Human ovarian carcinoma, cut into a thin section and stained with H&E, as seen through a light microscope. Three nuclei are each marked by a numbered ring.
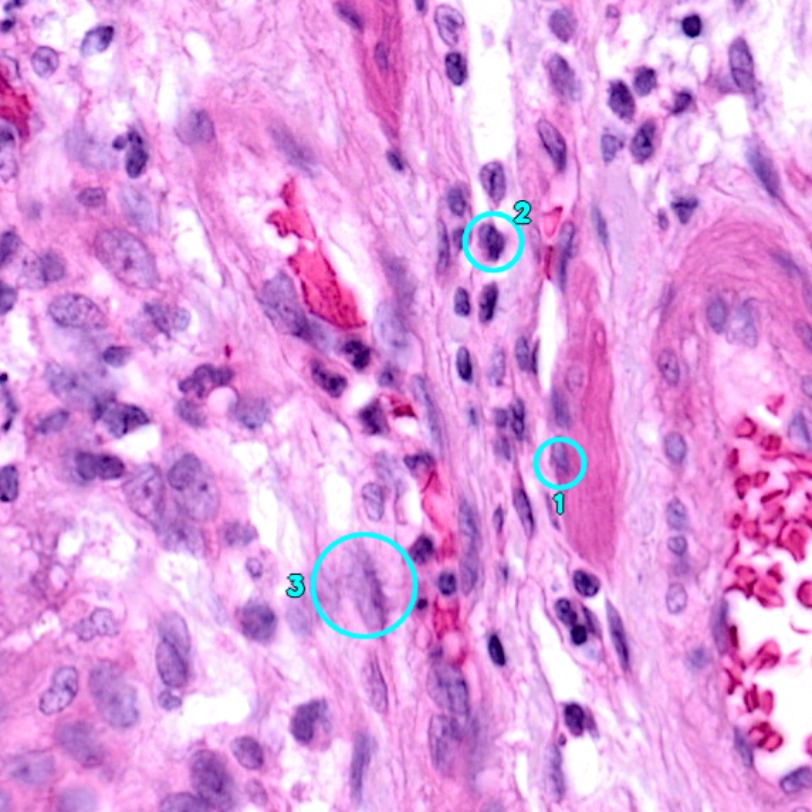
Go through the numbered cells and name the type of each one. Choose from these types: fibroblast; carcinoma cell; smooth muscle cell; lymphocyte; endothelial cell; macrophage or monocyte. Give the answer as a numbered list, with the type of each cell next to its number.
1. smooth muscle cell
2. lymphocyte
3. fibroblast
